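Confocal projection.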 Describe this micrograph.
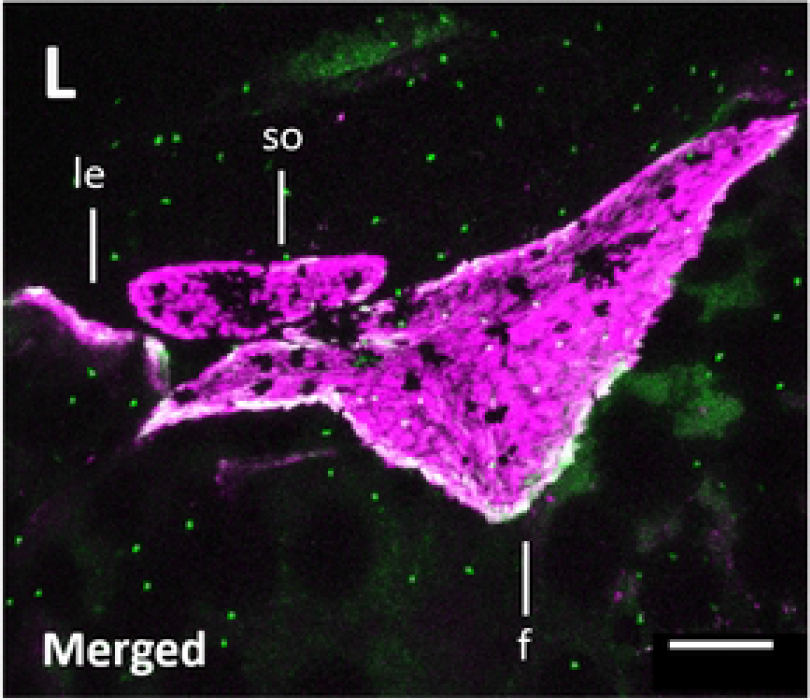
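This is the developing skull roof seen from above, with a large flat triangular frontal bone filled with magenta, a smaller oval supraorbital bone lying along its front edge, and the slender lateral ethmoid extending forward. The bone plates have a mottled texture with scattered dark holes, and the margin of the frontal bone, most of all its pointed lower tip, appears brighter and whitish where green overlaps the magenta.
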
